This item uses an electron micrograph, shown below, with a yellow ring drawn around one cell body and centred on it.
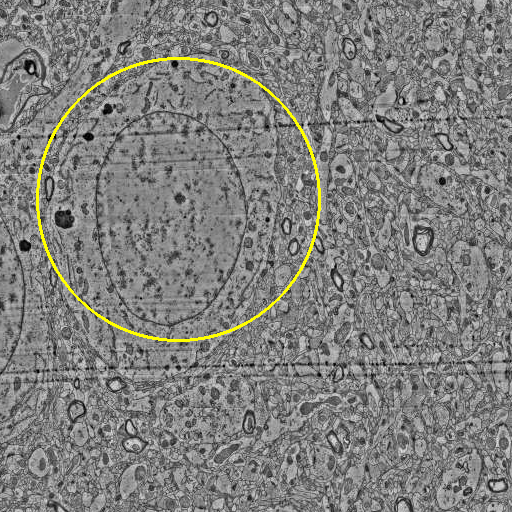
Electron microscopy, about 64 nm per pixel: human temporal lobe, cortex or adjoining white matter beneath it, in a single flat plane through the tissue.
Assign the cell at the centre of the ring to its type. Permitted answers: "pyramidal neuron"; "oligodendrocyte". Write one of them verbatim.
pyramidal neuron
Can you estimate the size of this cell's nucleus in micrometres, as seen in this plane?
The nucleus measures about 14 by 10 micrometres in this plane.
